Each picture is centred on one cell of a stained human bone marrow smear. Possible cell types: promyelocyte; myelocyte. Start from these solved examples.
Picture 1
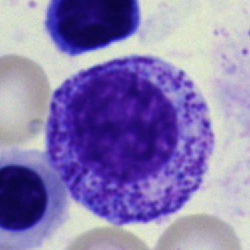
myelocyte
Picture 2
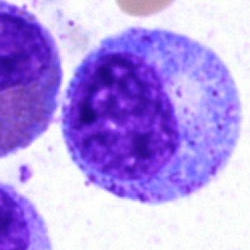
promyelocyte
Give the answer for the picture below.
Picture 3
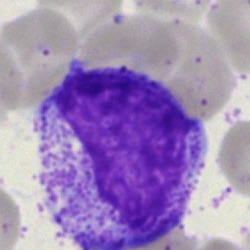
myelocyte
